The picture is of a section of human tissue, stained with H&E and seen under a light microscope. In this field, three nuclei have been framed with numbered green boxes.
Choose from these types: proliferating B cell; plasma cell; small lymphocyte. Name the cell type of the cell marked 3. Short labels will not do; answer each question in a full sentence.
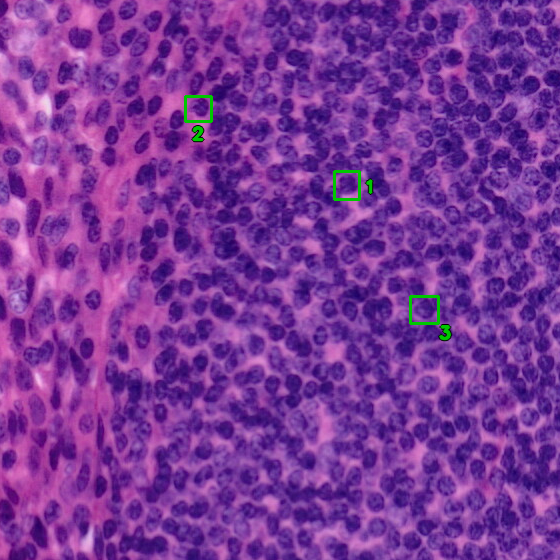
The numeral 3 marks a small lymphocyte in this section.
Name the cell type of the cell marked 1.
Cell 1 in the field is a small lymphocyte.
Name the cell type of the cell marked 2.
The cell that goes by number 2 is a plasma cell.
